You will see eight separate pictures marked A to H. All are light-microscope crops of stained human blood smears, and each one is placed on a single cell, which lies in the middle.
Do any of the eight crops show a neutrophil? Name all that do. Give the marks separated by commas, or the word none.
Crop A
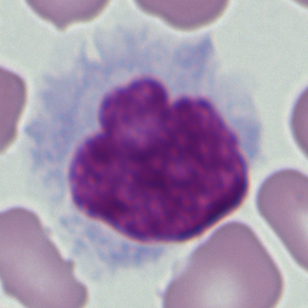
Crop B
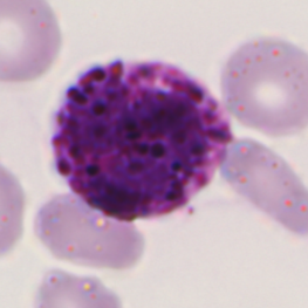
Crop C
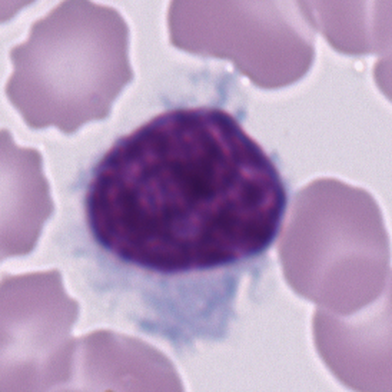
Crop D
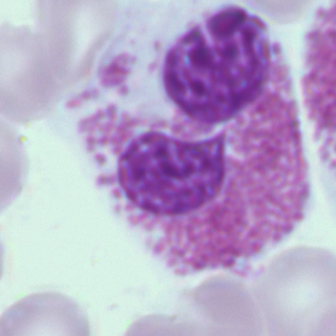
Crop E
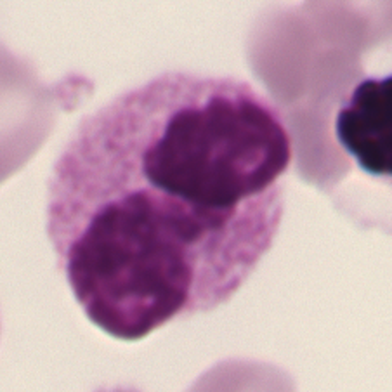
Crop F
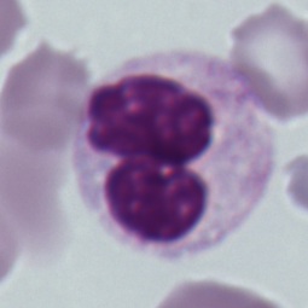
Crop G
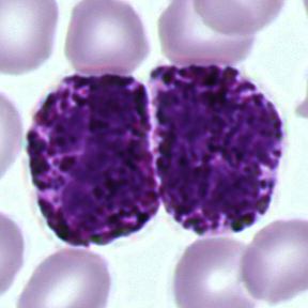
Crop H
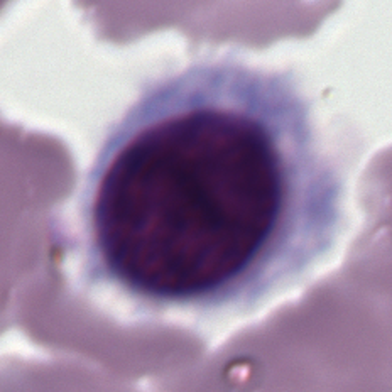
E, F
